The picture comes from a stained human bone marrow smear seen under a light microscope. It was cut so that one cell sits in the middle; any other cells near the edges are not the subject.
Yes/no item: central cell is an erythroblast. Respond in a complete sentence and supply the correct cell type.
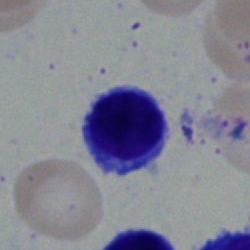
No, looking at the central cell, it is a lymphocyte rather than an erythroblast.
